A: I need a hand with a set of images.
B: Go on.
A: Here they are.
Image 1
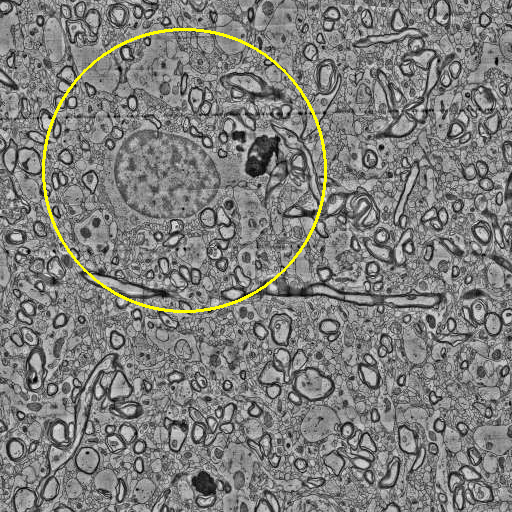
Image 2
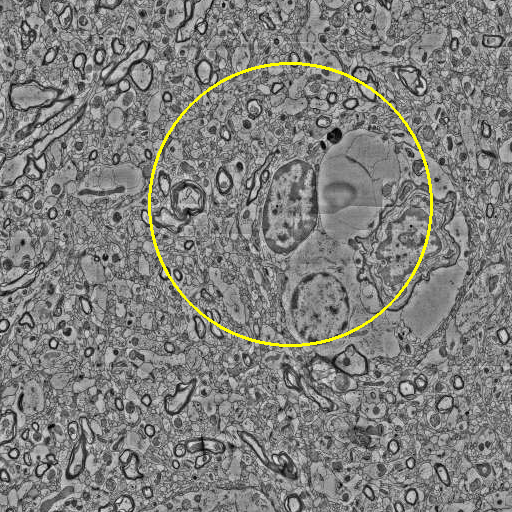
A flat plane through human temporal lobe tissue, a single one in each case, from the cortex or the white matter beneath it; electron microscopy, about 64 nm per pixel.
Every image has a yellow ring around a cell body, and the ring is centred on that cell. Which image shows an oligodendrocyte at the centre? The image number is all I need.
1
